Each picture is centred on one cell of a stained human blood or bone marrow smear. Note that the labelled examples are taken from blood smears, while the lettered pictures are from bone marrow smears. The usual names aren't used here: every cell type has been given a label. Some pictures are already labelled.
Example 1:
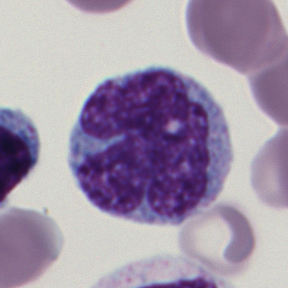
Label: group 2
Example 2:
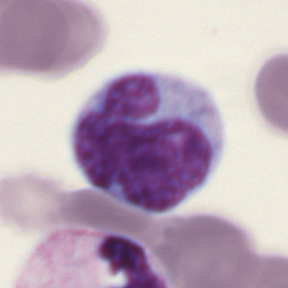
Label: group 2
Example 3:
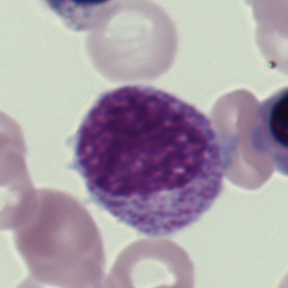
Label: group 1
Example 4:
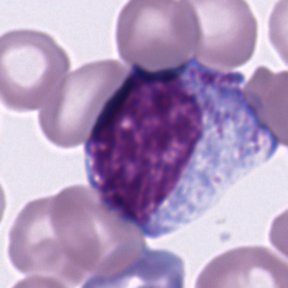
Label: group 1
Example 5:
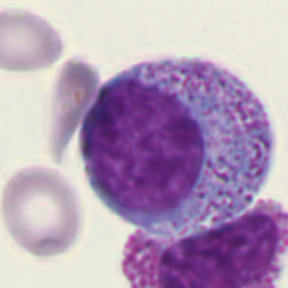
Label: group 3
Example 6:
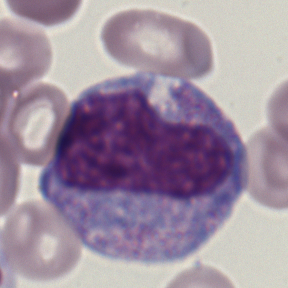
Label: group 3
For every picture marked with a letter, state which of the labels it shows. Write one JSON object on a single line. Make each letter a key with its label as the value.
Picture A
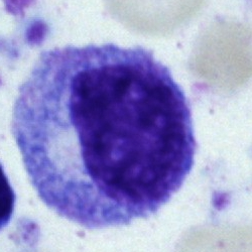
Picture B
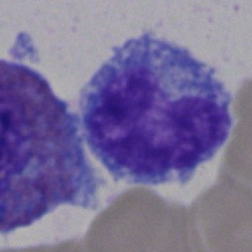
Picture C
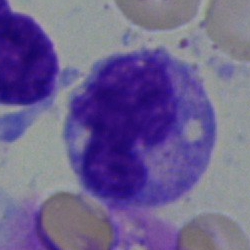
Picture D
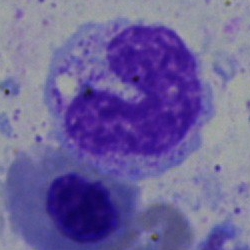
{"A": "group 3", "B": "group 2", "C": "group 2", "D": "group 2"}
